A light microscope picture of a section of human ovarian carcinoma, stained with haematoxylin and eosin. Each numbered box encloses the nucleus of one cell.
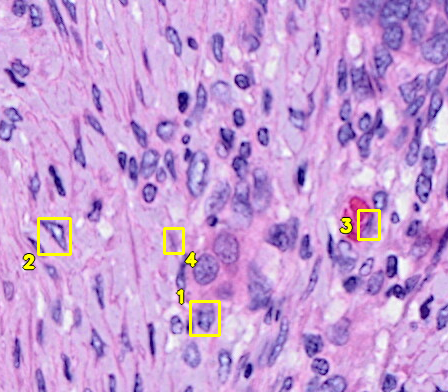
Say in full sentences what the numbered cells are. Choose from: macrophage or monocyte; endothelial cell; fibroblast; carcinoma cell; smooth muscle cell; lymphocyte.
Cells 1, 2 and 4 are fibroblasts. Cell 3 is an endothelial cell.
